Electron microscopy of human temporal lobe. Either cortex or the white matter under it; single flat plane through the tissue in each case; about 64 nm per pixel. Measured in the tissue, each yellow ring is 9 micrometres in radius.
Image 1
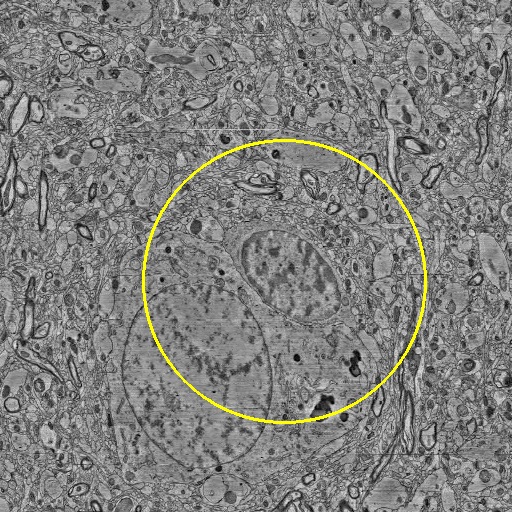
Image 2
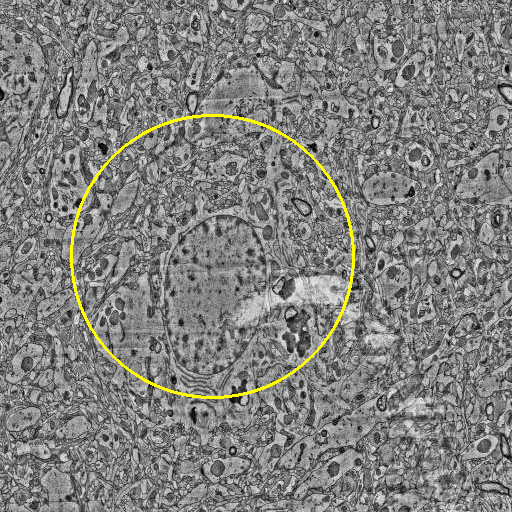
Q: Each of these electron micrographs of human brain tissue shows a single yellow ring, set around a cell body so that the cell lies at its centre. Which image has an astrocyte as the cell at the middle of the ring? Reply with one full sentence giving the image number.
In image 2, the cell lying at the ring's centre is the requested one.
